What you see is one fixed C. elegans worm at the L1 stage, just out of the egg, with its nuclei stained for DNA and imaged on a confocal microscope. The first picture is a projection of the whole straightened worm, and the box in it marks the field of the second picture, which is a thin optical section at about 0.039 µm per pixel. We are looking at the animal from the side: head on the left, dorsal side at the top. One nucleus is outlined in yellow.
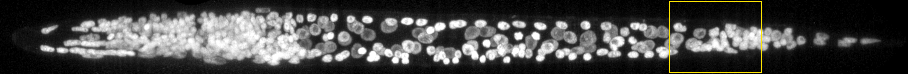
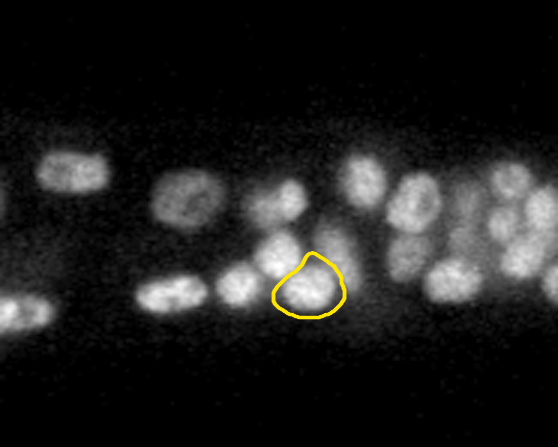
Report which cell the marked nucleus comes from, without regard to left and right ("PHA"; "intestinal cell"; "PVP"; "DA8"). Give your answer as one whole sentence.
It is the nucleus of DA8, a neuron.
